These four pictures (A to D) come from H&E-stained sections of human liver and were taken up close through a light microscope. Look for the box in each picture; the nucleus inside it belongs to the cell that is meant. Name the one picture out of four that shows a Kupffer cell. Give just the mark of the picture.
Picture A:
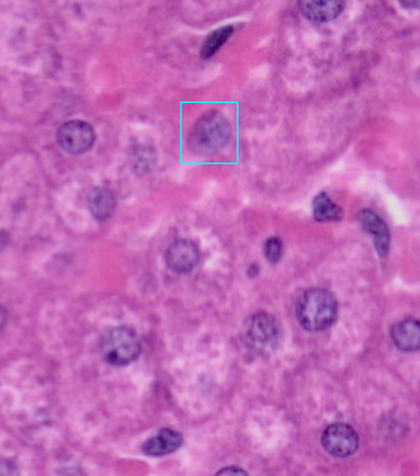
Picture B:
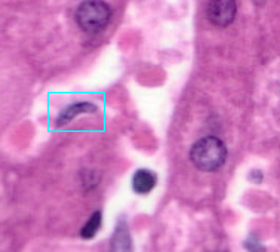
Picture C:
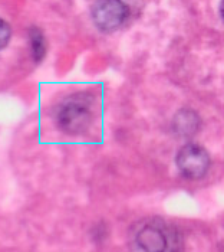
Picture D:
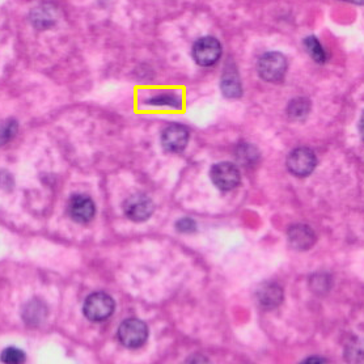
C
